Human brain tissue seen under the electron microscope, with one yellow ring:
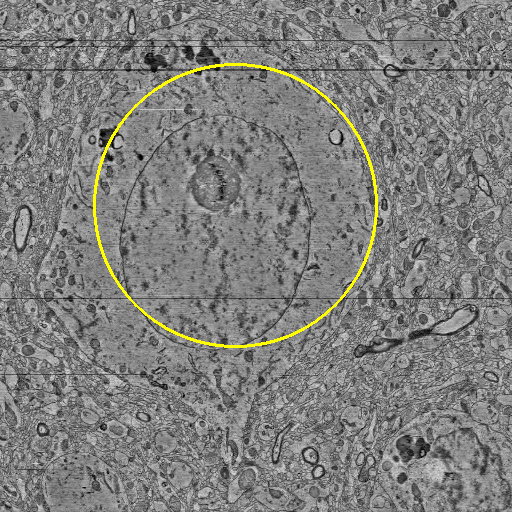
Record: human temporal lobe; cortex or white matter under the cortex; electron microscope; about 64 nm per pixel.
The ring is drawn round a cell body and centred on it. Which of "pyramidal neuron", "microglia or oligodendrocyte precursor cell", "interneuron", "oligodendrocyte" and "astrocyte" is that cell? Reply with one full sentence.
The picture shows a pyramidal neuron at the very centre of the yellow ring.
